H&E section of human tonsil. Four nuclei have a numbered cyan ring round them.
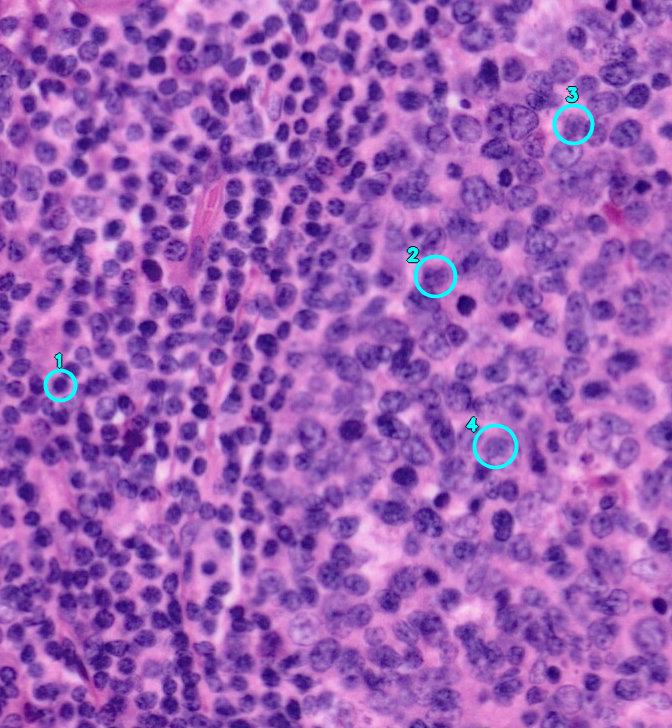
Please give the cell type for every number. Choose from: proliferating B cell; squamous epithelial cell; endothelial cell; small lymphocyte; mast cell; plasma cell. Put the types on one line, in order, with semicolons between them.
small lymphocyte; proliferating B cell; proliferating B cell; proliferating B cell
